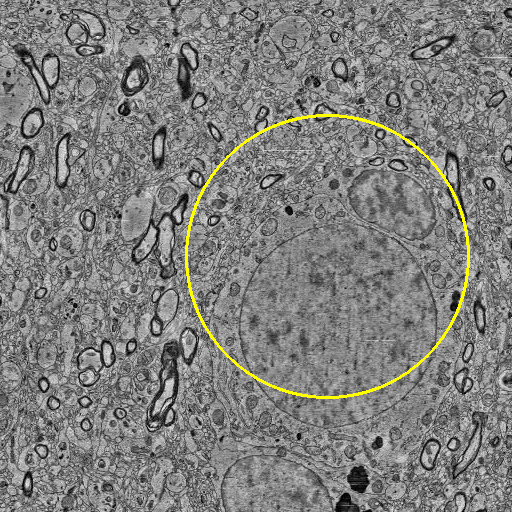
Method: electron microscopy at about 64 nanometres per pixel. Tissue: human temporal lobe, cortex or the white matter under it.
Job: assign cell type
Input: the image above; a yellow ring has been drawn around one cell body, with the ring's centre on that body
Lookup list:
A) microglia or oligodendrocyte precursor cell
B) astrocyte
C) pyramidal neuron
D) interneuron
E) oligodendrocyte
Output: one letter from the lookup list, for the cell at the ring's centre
D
